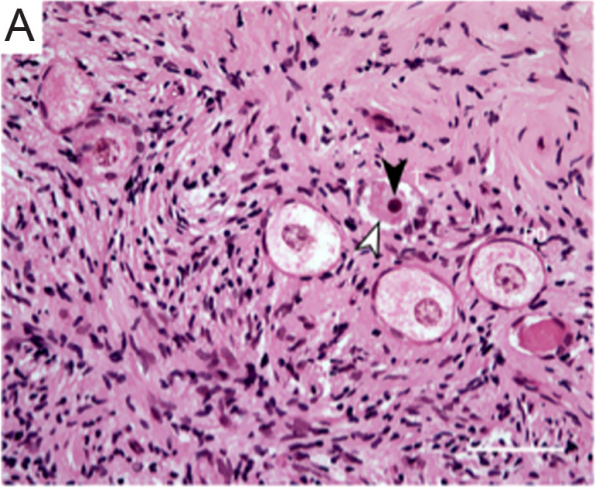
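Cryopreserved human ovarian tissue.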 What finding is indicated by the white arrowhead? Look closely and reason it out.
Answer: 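Shrunken ooplasm. The marked small follicle has a clear space between its oocyte and the surrounding wall. The oocyte cytoplasm is small and dense with a dark nucleus.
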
